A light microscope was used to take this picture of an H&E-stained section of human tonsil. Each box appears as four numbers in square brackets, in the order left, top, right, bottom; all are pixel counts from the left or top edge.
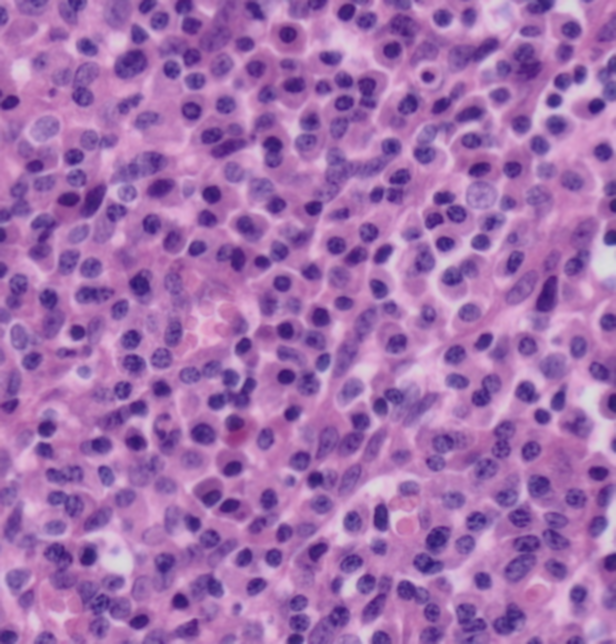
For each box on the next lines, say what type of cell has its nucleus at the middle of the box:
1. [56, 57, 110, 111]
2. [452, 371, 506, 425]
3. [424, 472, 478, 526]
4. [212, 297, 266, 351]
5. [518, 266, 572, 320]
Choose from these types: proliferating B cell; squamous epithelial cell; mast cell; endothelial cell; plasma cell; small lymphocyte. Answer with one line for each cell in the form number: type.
1: squamous epithelial cell
2: plasma cell
3: plasma cell
4: plasma cell
5: squamous epithelial cell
